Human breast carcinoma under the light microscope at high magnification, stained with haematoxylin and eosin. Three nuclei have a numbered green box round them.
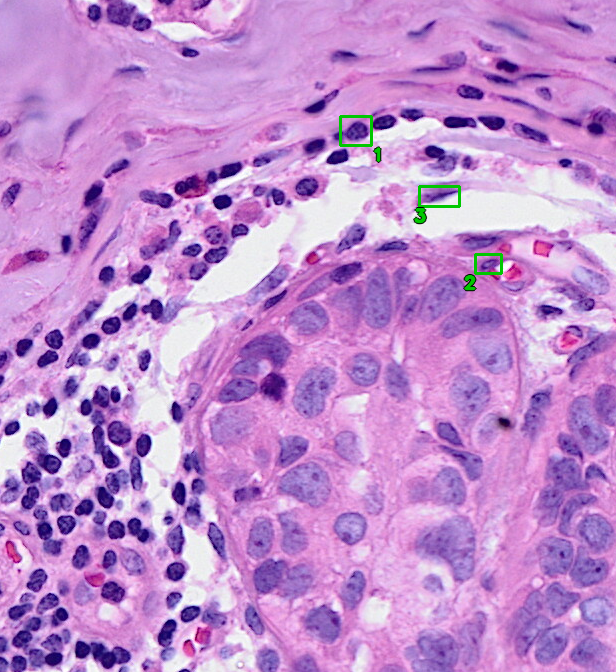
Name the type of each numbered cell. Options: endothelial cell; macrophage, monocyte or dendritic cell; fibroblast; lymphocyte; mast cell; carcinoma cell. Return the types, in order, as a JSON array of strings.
["lymphocyte", "endothelial cell", "fibroblast"]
